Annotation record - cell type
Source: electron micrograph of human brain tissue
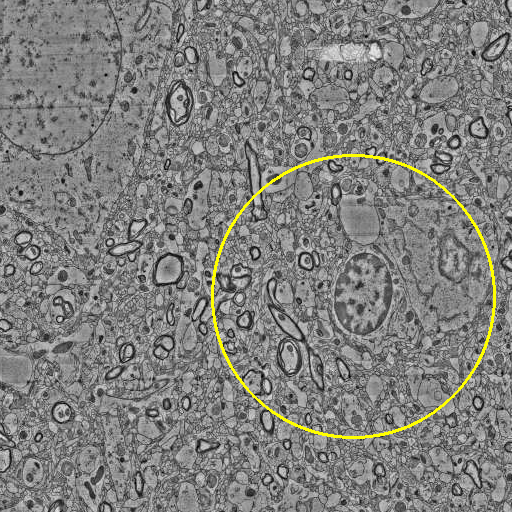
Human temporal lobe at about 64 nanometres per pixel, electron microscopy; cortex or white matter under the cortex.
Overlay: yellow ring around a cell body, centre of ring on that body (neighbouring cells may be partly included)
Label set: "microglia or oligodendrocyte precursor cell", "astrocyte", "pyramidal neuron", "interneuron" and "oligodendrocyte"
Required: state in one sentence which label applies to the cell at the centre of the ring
This cell should be labelled as a microglial cell or oligodendrocyte precursor cell.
